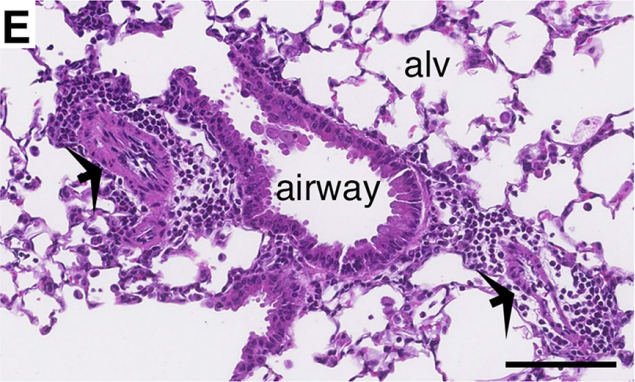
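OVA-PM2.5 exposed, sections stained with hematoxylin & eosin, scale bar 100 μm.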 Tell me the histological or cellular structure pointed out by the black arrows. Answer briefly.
Blood vessels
